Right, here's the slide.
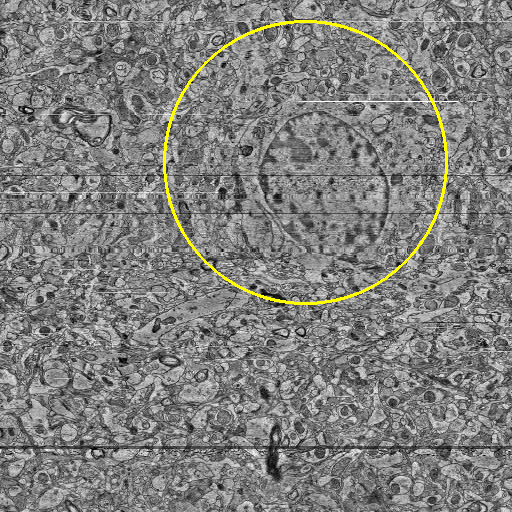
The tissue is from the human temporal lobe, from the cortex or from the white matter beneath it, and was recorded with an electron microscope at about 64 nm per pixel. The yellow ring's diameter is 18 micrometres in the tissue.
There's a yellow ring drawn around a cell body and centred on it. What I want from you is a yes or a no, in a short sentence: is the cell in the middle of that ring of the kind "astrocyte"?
Yes, it's of that kind.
